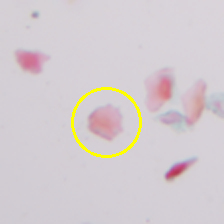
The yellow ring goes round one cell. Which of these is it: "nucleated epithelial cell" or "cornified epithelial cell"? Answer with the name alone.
cornified epithelial cell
